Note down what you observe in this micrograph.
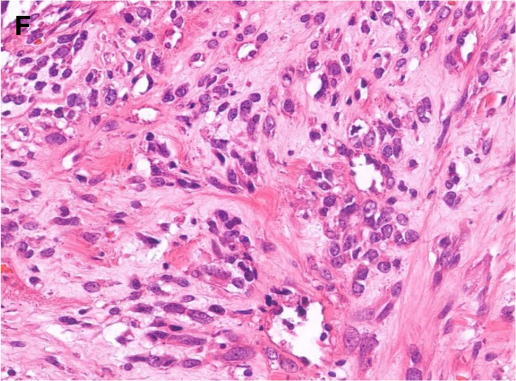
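Here tumor cells with oval to elongated nuclei sit in cords and small groups within pink collagenized stroma. The collagen runs in bands between the cell groups, separating them. A few small clear spaces are scattered among the cells.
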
